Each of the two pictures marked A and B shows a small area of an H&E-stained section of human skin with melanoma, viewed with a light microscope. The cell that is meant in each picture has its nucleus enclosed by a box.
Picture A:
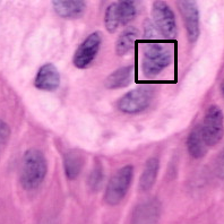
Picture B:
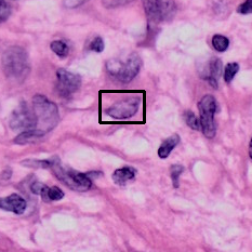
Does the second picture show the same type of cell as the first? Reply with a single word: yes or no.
yes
